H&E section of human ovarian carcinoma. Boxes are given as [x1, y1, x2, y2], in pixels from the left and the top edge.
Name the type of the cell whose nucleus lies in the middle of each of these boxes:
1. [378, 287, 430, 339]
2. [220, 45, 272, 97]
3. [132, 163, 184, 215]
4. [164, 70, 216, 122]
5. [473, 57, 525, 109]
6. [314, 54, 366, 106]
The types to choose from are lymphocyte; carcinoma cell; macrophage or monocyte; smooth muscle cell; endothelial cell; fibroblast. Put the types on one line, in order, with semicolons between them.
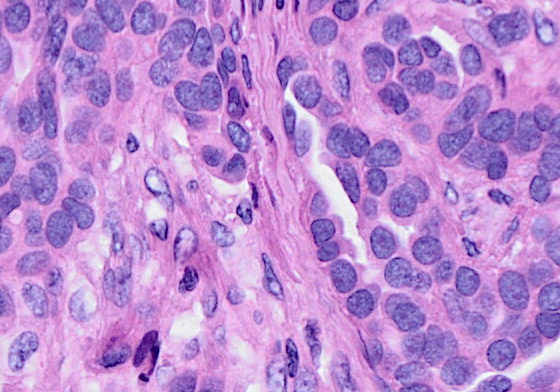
carcinoma cell; fibroblast; fibroblast; carcinoma cell; fibroblast; fibroblast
